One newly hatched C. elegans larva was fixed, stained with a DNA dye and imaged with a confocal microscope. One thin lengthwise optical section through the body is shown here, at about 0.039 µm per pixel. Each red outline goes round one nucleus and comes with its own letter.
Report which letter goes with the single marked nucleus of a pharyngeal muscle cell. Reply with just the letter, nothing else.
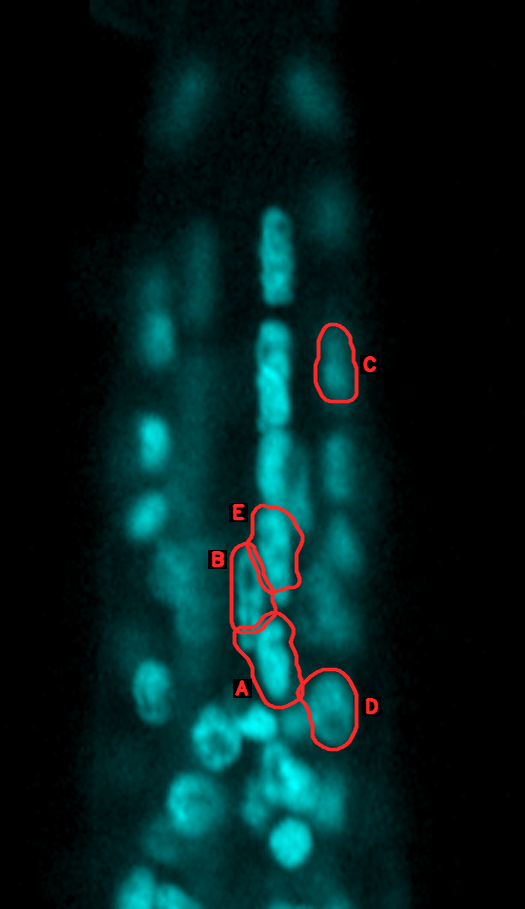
B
